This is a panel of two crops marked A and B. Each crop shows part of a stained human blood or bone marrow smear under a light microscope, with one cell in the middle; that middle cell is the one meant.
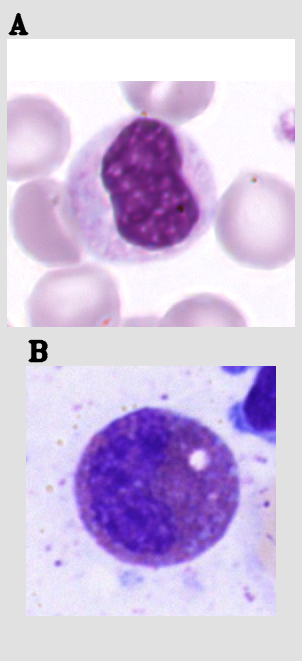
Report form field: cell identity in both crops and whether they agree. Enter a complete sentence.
No, crop A is where a metamyelocyte is shown, and crop B is where an eosinophil is shown.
